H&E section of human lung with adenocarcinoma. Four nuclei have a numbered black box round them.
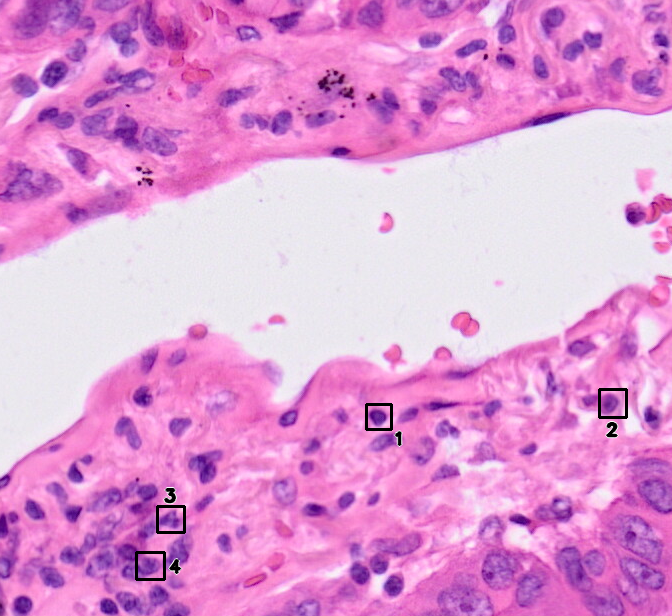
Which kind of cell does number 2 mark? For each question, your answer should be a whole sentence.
The expected answer is that cell 2 is a plasma cell.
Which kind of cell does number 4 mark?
The cell that goes by number 4 is a lymphocyte.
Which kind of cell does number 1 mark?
Nucleus 1 in this section belongs to a lymphocyte.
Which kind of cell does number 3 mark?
The cell pointed out by number 3 is a lymphocyte.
